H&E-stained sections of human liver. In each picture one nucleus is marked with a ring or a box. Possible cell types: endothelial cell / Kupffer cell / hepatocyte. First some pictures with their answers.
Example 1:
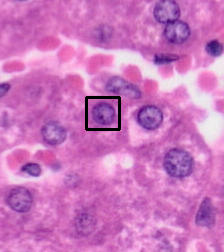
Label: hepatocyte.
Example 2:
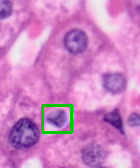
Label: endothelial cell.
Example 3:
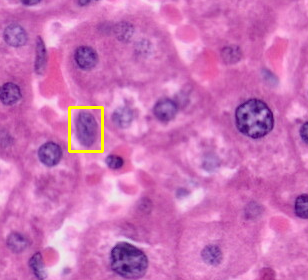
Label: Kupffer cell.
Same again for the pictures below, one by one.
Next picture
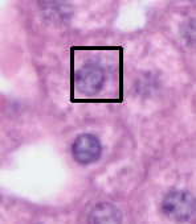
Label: hepatocyte.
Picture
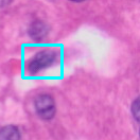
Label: Kupffer cell.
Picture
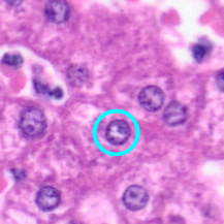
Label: hepatocyte.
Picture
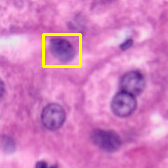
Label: endothelial cell.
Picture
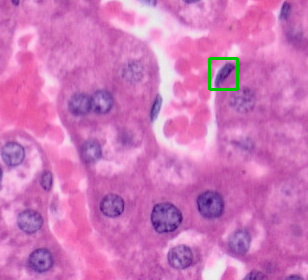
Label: endothelial cell.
